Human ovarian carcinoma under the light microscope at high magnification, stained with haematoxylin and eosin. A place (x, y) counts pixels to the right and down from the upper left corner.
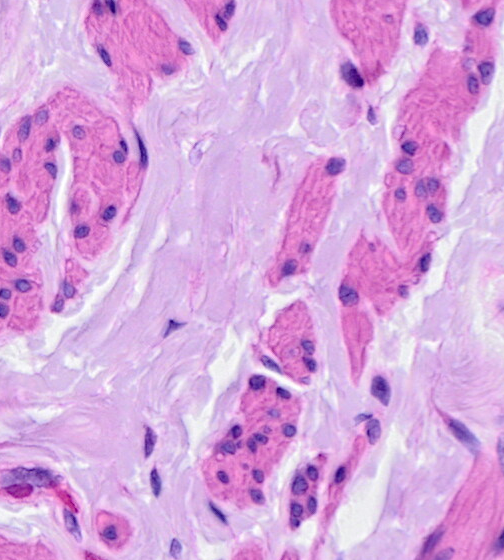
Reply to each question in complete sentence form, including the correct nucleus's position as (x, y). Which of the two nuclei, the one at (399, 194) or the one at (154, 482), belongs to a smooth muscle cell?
The one belonging to a smooth muscle cell is the nucleus at (399, 194), not the other.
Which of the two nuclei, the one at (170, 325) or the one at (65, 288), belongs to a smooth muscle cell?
The nucleus at (65, 288) is part of a smooth muscle cell, while the other is not.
